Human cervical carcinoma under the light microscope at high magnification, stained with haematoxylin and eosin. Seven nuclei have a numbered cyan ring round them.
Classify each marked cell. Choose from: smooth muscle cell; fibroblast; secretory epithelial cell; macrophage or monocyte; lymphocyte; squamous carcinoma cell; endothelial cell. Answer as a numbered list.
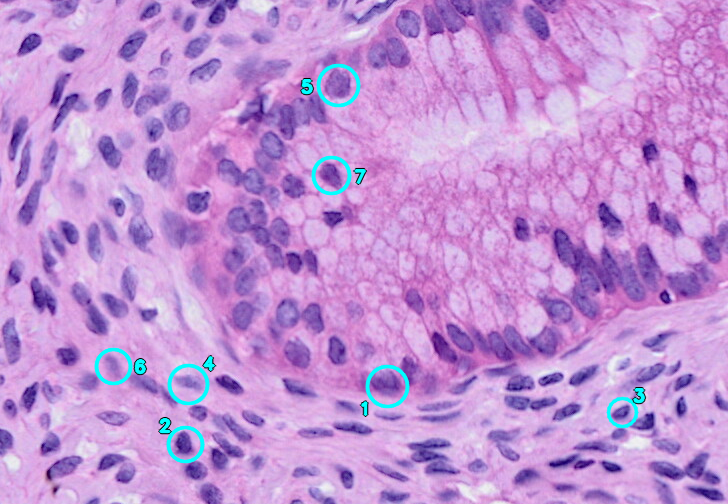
1. secretory epithelial cell
2. fibroblast
3. fibroblast
4. fibroblast
5. secretory epithelial cell
6. fibroblast
7. secretory epithelial cell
